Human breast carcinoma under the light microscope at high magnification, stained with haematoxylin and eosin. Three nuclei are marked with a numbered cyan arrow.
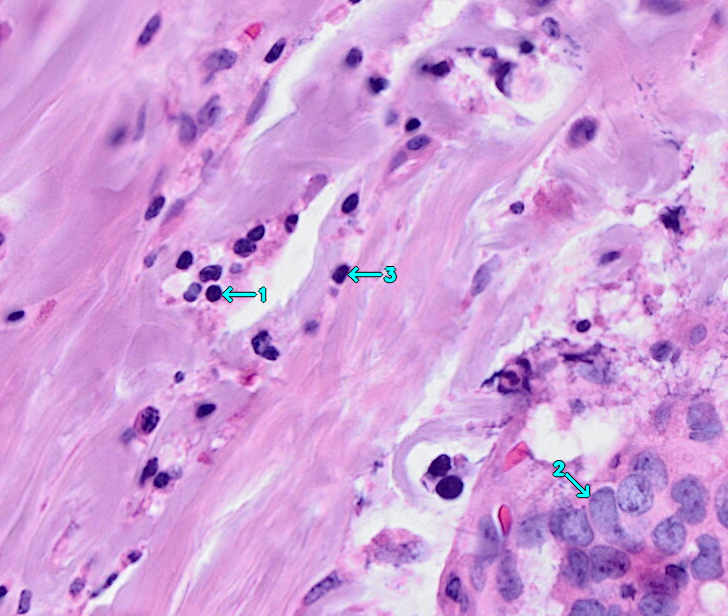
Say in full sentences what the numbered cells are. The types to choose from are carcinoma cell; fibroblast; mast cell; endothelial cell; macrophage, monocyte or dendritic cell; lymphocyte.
Cells 1 and 3 are lymphocytes. Cell 2 is a carcinoma cell.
